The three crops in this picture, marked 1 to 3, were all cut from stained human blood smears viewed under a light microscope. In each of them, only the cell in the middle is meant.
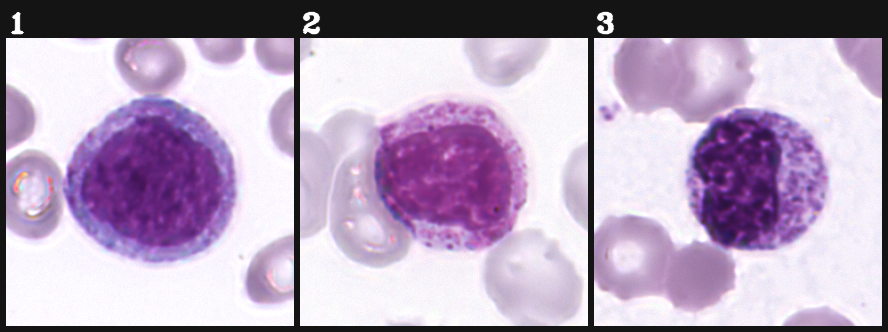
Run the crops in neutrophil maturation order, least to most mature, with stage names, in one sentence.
Proceeding from least to most mature, the order is crop 1 (a promyelocyte), crop 2 (a myelocyte) and crop 3 (a metamyelocyte).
